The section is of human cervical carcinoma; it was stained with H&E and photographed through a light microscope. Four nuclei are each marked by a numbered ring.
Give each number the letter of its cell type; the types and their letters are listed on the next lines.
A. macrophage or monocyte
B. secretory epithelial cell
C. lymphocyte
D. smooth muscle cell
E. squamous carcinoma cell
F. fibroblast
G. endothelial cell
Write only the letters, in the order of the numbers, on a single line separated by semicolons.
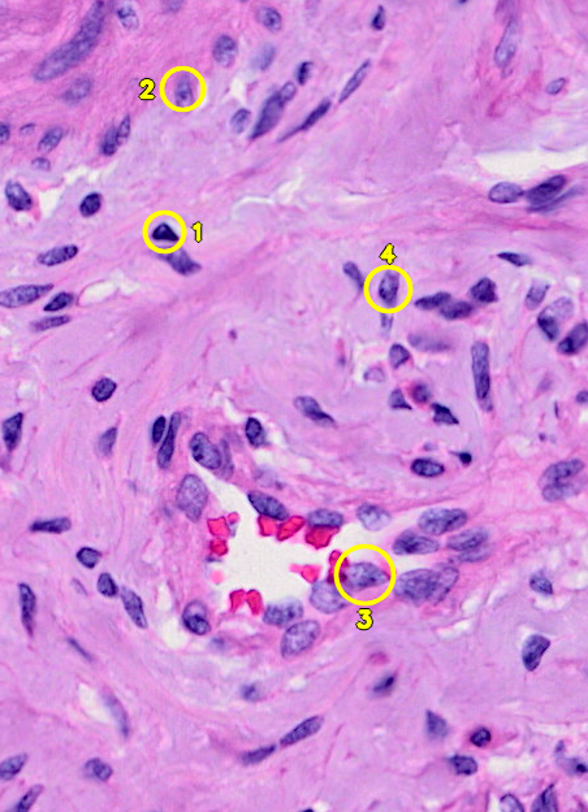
C; D; G; F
